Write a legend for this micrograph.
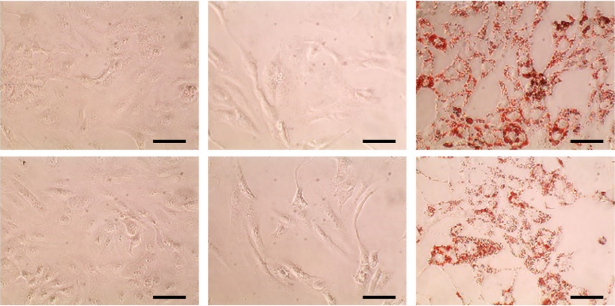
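In four of the six images the cells lie flat and spread out, with elongated or irregular outlines and pale, almost unstained cytoplasm. In these cells red droplets are scarce or absent. In the rightmost column the cells are crowded with red droplets that gather in dense clusters filling much of the cytoplasm. The droplet-laden cells of the lower right image carry noticeably fewer red clusters than those of the upper right image.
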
